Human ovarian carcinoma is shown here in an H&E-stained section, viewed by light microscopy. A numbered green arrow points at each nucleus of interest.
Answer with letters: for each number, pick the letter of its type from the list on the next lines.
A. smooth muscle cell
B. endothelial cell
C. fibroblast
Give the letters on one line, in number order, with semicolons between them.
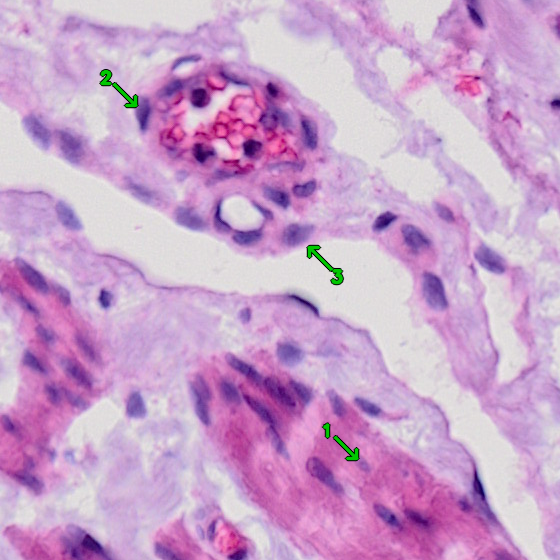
A; C; B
